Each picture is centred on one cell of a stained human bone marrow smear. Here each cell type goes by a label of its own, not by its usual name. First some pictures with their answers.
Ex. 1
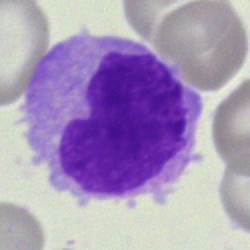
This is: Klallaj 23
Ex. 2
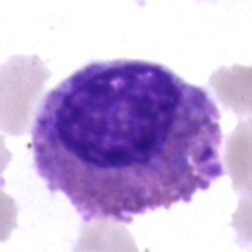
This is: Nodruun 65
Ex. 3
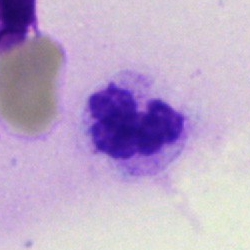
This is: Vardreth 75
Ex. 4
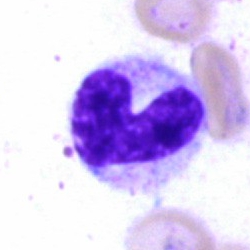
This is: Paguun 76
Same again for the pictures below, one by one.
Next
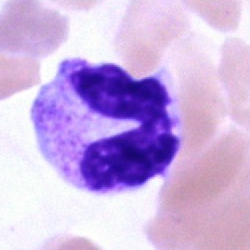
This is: Vardreth 75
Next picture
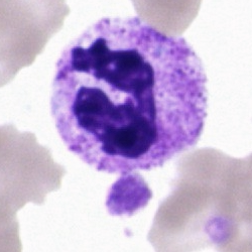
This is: Vardreth 75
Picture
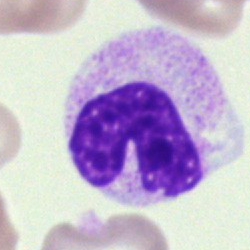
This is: Paguun 76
